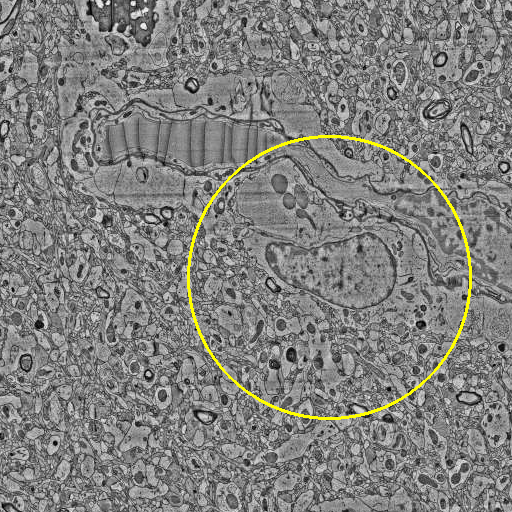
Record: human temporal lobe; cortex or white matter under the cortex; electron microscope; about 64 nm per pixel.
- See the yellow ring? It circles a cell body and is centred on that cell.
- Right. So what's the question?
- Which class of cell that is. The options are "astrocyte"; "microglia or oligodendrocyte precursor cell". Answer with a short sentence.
The centre of the ring holds a microglial cell or oligodendrocyte precursor cell.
